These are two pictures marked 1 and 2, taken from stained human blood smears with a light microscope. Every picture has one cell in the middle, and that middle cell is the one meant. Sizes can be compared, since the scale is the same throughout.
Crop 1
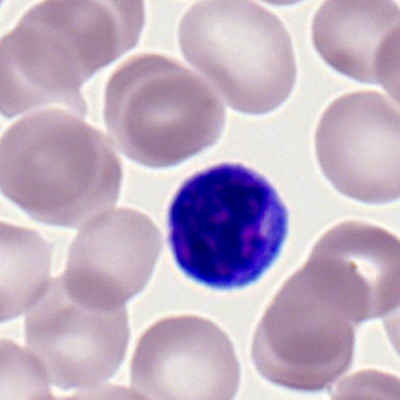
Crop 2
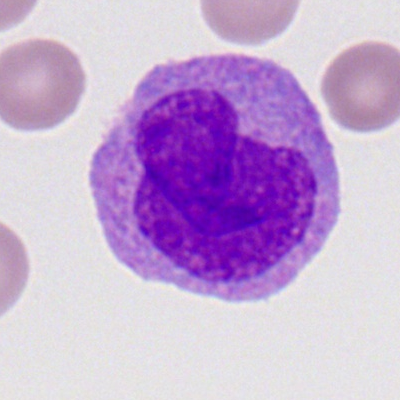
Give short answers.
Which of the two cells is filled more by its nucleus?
1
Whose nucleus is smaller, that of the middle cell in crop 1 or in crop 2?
1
